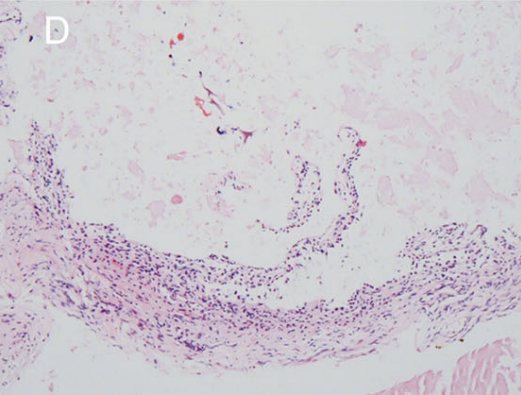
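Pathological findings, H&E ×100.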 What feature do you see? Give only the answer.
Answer: Fibrous cyst walls.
